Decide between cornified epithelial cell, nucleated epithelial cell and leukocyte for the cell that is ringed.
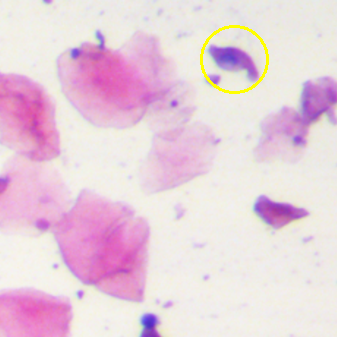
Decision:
I take the ringed cell for a nucleated epithelial cell.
